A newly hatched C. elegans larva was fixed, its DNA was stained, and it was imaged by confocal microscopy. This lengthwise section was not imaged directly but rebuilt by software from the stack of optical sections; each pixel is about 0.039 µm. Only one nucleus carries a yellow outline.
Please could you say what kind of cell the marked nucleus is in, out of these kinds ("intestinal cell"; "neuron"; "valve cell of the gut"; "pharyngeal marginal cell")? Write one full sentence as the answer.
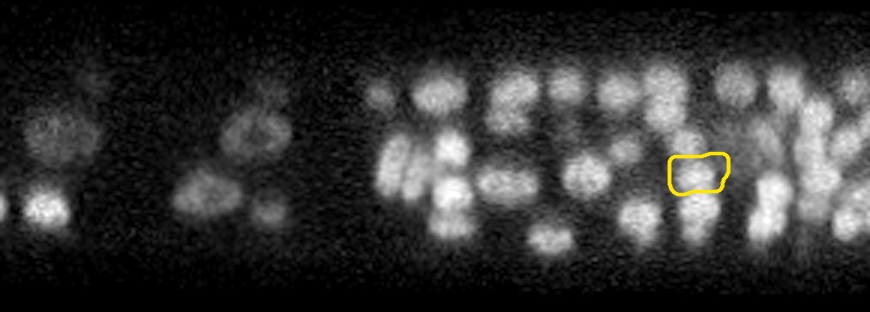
It belongs to a neuron.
